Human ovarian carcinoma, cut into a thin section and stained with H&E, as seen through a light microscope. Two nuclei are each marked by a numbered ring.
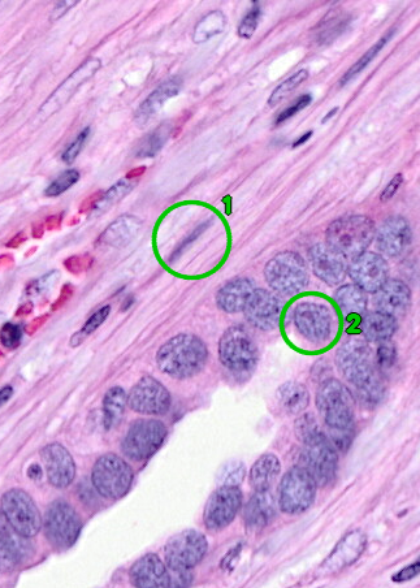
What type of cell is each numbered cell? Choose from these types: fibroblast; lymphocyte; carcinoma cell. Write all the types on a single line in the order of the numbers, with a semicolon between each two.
fibroblast; carcinoma cell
